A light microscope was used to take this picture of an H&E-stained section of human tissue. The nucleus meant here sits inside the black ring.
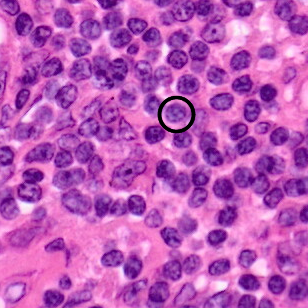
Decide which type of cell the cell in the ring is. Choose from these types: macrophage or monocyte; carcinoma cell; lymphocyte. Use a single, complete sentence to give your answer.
In this field of tissue, the cell in the ring is a lymphocyte.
